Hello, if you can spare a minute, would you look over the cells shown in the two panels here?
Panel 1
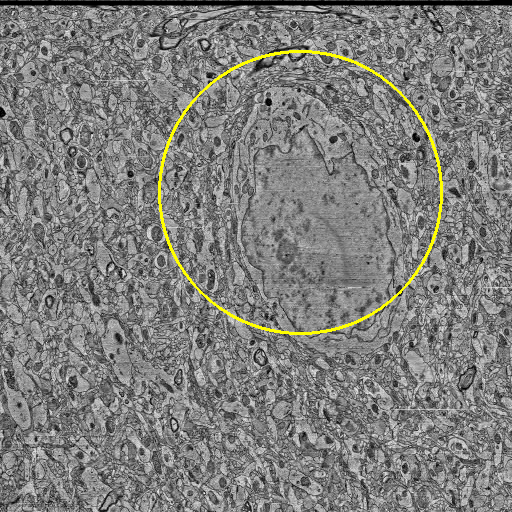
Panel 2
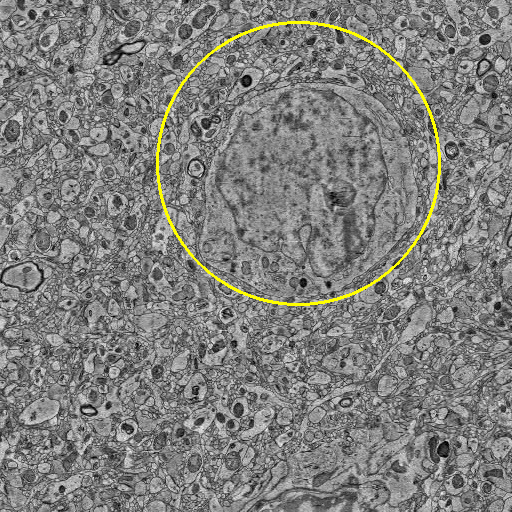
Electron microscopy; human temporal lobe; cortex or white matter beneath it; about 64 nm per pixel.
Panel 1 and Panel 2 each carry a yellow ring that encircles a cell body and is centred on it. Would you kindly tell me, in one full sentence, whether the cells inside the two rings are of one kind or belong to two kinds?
The cells at the centres of the rings in Panel 1 and Panel 2 are of one kind.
